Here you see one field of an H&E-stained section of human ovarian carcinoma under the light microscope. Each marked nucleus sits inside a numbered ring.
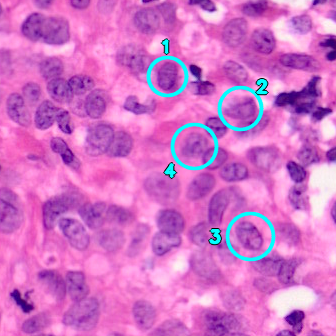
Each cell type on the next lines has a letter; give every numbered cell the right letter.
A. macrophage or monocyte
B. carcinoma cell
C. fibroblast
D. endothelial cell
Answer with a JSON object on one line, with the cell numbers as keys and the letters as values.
{"1": "B", "2": "B", "3": "A", "4": "B"}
